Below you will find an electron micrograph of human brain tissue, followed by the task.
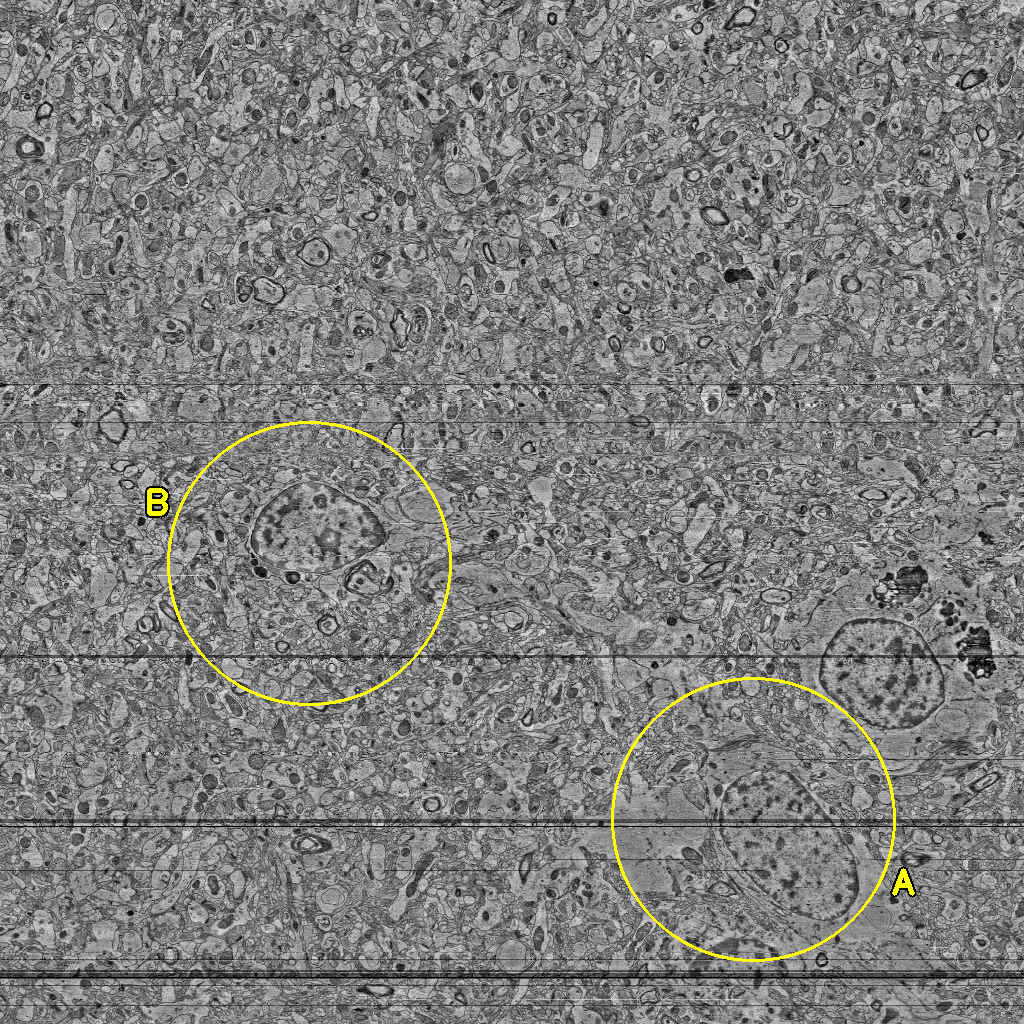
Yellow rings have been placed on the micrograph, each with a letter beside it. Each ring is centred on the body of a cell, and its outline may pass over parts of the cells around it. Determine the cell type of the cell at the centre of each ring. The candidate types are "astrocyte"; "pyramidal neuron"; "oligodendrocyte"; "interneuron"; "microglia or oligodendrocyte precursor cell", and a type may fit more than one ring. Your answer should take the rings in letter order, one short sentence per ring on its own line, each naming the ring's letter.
The centre of ring A falls on an astrocyte.
The centre of ring B falls on a microglial cell or oligodendrocyte precursor cell.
